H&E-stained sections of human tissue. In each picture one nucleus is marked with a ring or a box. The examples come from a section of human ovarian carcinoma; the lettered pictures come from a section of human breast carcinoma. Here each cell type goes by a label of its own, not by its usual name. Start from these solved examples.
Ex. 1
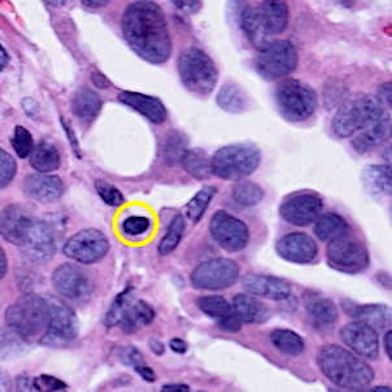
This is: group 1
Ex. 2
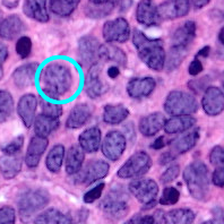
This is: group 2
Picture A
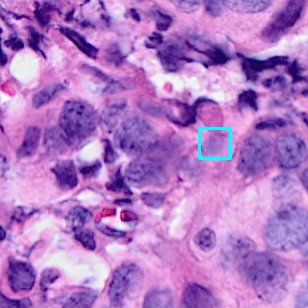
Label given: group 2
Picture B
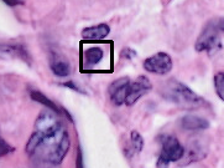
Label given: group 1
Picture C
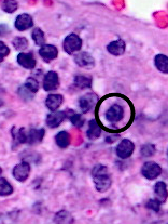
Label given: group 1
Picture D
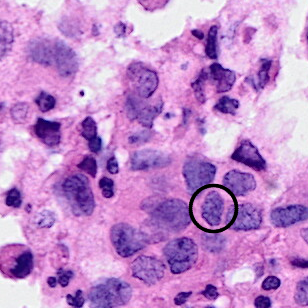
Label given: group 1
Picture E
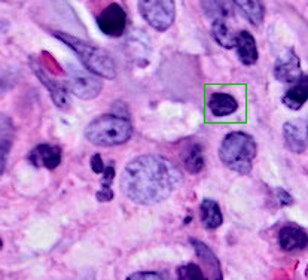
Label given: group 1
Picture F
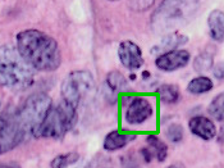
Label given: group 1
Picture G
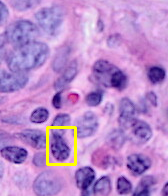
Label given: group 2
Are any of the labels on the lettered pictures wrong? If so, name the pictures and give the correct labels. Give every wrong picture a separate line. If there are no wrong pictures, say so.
D should be group 2, not group 1
G should be group 1, not group 2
